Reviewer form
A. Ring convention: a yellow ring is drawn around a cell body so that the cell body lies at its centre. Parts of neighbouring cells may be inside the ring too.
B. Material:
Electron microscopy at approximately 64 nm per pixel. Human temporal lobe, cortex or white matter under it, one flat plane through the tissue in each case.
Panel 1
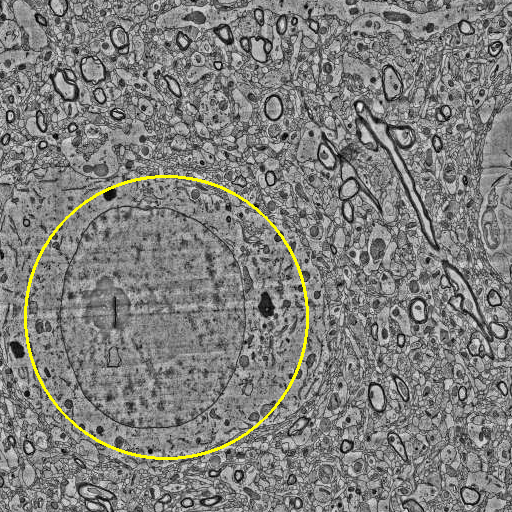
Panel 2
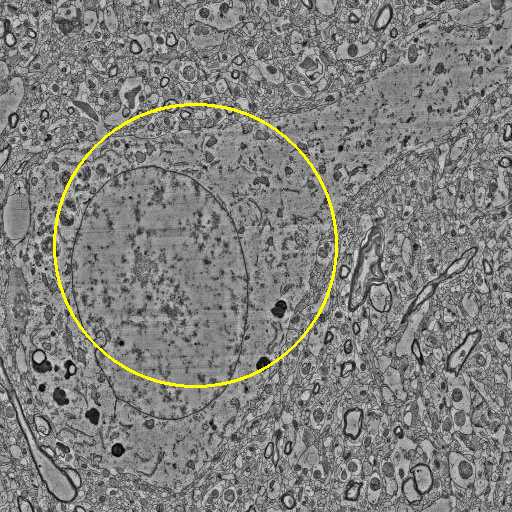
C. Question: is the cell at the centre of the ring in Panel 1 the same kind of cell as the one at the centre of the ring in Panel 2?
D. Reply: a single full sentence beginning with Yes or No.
Yes, the cells in Panel 1 and Panel 2 are the same kind of cell.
